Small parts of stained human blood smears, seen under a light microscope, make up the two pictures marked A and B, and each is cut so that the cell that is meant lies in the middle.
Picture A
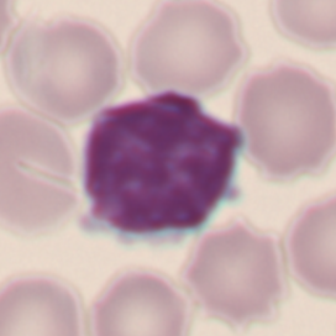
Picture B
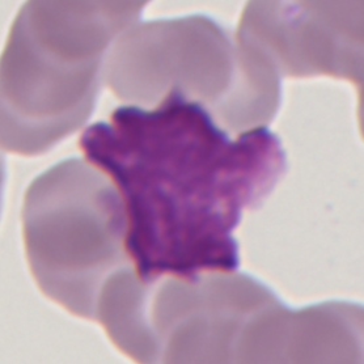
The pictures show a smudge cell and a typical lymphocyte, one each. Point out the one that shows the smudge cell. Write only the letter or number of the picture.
B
